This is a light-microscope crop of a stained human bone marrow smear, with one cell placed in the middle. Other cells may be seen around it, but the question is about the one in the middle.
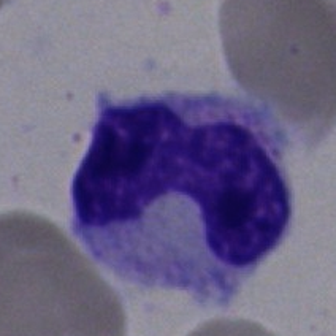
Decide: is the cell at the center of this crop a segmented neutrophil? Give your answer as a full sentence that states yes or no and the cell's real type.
No, the central cell is not a segmented neutrophil; it is a band neutrophil.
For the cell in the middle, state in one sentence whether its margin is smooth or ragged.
Rather than running smoothly, the cell border is ragged or carries projections.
